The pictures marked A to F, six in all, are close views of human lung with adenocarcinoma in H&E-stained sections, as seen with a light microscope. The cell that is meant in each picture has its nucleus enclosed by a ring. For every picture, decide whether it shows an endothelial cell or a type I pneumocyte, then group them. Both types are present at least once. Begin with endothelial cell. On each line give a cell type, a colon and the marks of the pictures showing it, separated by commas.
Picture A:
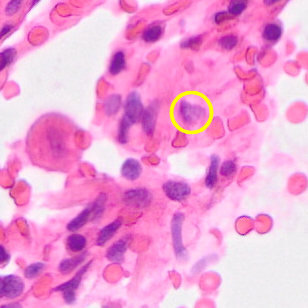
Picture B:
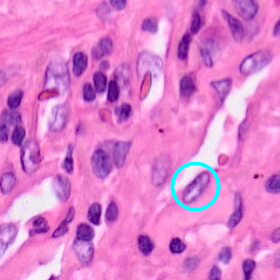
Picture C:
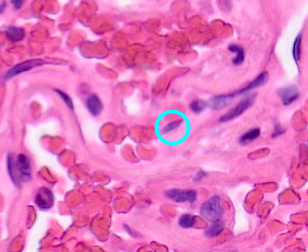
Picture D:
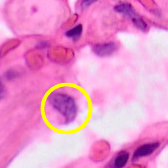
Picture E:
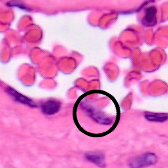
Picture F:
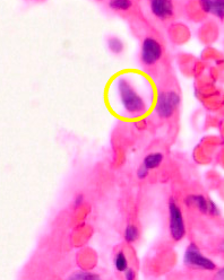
endothelial cell: B, C, E
type I pneumocyte: A, D, F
